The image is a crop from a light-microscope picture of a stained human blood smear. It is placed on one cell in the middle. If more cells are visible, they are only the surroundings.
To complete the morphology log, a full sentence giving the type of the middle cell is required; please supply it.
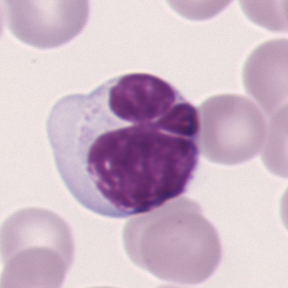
The cell centered in this field of view is a large granular lymphocyte.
